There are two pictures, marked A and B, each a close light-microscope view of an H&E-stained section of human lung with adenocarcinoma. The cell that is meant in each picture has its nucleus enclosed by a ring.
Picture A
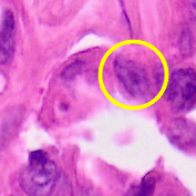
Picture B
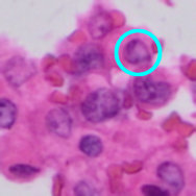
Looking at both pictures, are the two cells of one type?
no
